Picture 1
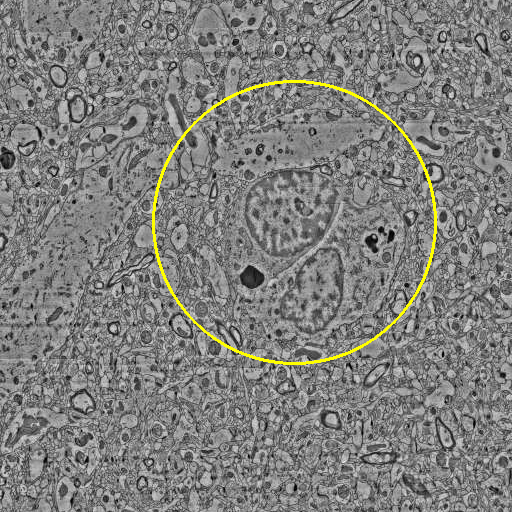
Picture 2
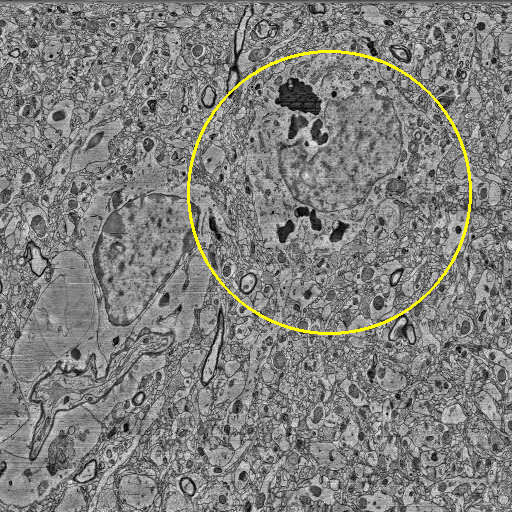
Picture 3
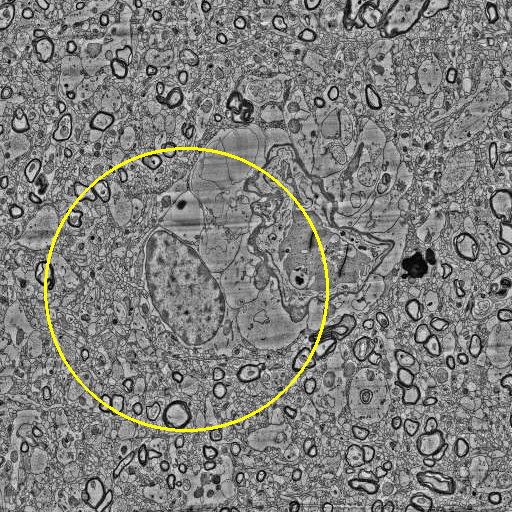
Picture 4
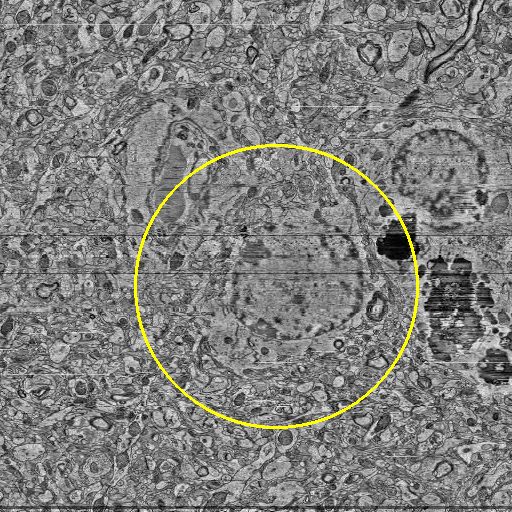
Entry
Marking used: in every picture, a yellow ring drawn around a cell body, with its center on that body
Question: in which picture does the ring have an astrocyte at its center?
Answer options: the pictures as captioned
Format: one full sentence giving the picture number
Picture 4 is where the ring's center falls on the requested cell.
